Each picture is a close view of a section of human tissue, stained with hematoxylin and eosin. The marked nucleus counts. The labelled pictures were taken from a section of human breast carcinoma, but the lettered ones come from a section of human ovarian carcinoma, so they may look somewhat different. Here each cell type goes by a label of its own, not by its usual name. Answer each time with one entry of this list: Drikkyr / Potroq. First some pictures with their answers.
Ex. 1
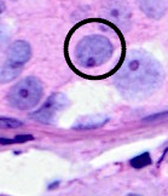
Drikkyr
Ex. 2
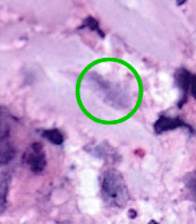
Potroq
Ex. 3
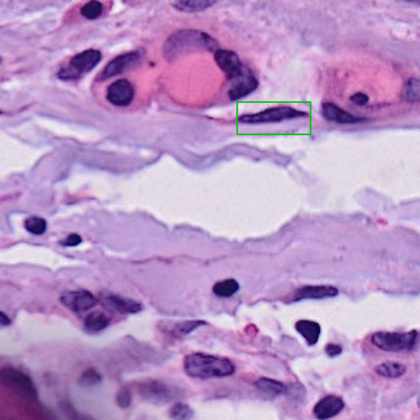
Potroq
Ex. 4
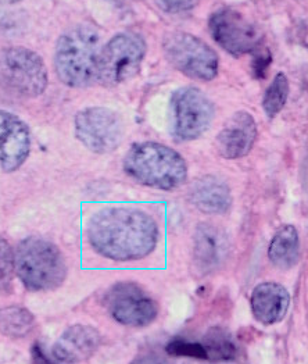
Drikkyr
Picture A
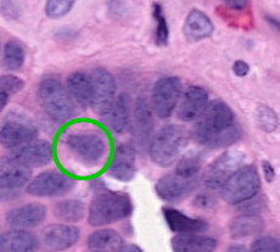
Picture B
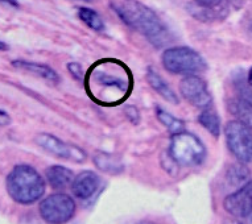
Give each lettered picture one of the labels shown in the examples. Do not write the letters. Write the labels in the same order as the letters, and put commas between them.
Drikkyr, Potroq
